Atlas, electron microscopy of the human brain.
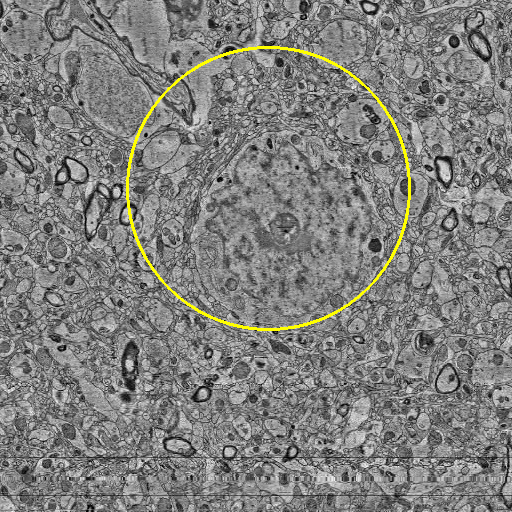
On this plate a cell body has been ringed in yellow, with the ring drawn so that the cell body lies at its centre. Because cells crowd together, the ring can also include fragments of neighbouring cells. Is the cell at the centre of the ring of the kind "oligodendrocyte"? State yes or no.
No, it is of another kind.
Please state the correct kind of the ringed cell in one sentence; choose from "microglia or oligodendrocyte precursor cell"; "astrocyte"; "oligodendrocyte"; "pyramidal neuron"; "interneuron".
The cell enclosed by the ring is an interneuron.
